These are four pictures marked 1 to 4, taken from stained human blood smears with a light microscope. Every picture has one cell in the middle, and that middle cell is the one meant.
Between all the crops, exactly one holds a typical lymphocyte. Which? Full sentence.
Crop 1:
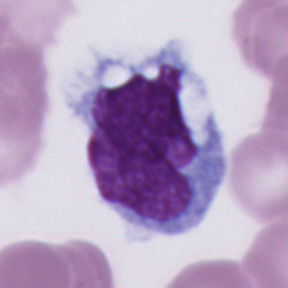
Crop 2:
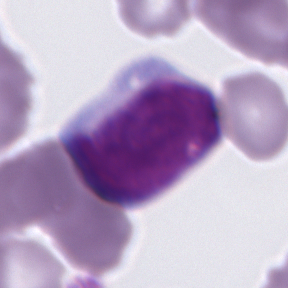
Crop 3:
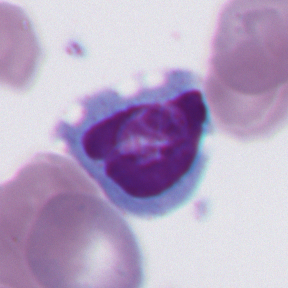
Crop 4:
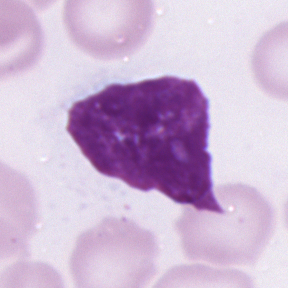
The crop bearing a typical lymphocyte is crop 3.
